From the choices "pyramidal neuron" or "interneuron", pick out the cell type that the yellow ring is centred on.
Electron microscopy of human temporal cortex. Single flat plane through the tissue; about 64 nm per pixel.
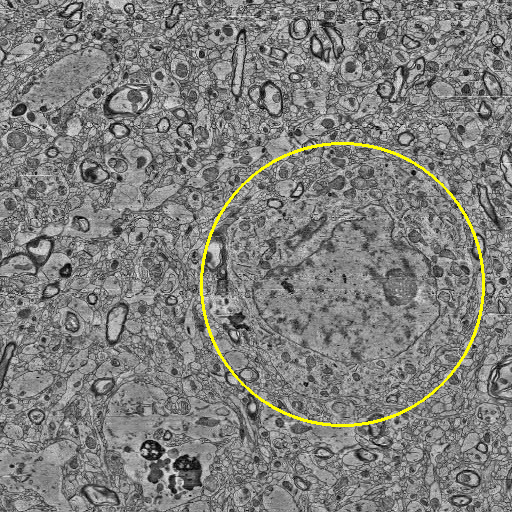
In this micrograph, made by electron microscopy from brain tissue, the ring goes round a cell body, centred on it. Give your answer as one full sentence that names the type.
The yellow ring is centred on an interneuron, whose cell body it encircles in the picture.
